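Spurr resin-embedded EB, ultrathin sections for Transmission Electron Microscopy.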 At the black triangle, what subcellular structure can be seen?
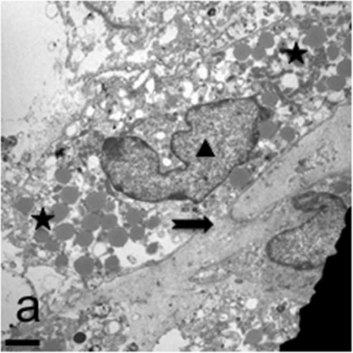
euchromatic nucleus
